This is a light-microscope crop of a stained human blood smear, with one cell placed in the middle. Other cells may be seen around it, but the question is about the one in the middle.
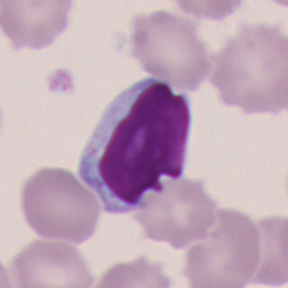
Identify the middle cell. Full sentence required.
Standing at the centre of this crop is a lymphocyte.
